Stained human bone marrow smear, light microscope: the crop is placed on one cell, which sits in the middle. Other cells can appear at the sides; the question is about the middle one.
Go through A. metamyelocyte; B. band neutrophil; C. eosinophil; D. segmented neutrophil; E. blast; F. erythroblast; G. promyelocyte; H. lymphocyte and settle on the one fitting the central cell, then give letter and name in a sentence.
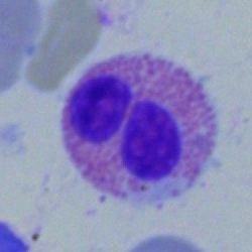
The cell at the heart of the crop is an eosinophil, so choose option C.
